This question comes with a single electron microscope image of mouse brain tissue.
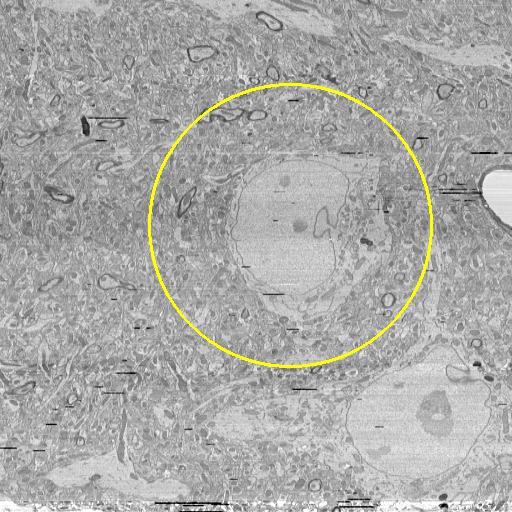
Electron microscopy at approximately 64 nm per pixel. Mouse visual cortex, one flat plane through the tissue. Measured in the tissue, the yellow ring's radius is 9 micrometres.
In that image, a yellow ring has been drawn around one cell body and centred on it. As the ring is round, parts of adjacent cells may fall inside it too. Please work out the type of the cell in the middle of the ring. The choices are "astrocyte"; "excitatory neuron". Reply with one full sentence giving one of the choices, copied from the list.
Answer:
Of the choices, an excitatory neuron is the cell sitting in the middle of the ring.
